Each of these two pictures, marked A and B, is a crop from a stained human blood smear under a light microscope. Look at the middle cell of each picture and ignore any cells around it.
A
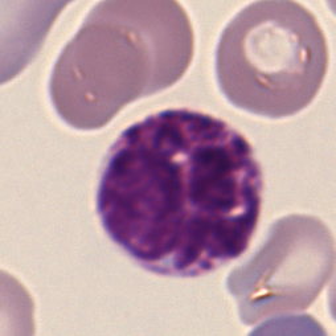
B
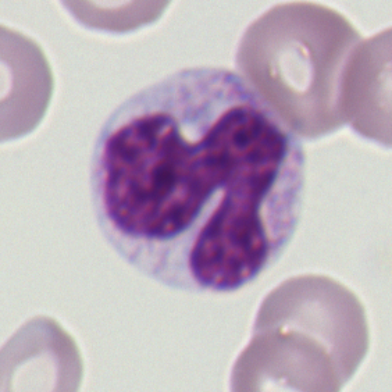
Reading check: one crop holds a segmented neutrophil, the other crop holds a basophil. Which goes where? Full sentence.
Crop A is identified as a basophil, and crop B is identified as a segmented neutrophil.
